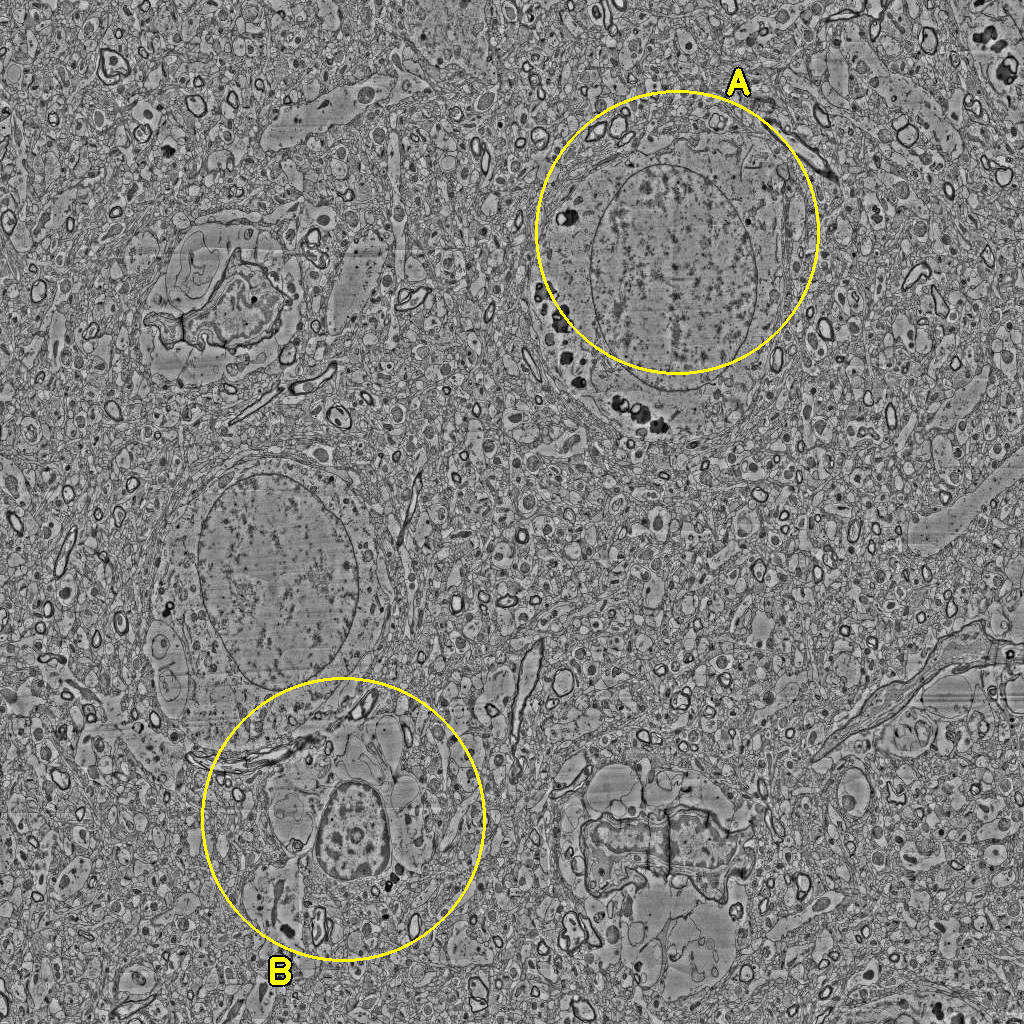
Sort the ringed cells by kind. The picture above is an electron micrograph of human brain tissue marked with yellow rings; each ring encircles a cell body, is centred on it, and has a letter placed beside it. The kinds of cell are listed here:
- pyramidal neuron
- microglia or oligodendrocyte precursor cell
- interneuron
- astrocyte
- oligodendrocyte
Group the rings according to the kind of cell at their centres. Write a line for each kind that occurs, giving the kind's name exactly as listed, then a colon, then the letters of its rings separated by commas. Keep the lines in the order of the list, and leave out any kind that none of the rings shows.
pyramidal neuron: A
microglia or oligodendrocyte precursor cell: B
